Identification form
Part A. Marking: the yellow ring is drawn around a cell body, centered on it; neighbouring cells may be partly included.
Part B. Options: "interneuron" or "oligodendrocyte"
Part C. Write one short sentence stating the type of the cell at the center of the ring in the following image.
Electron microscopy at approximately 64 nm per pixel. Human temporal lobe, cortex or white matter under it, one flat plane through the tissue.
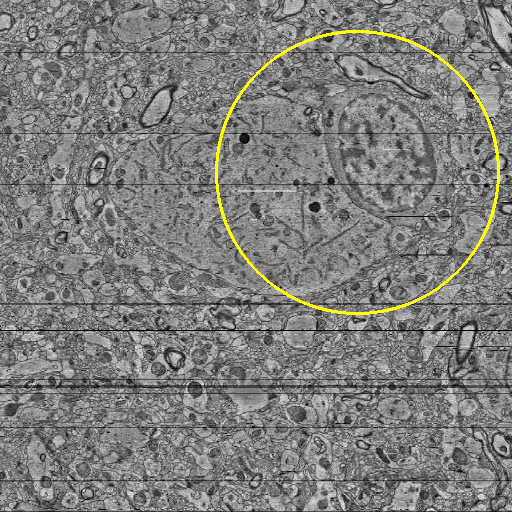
The center of the ring holds an oligodendrocyte.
